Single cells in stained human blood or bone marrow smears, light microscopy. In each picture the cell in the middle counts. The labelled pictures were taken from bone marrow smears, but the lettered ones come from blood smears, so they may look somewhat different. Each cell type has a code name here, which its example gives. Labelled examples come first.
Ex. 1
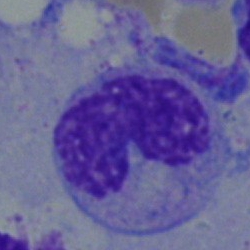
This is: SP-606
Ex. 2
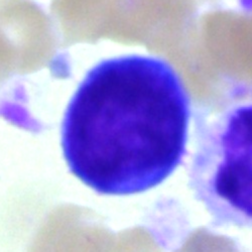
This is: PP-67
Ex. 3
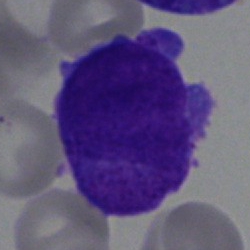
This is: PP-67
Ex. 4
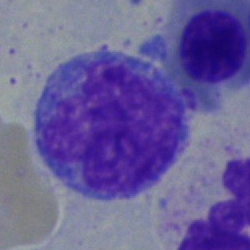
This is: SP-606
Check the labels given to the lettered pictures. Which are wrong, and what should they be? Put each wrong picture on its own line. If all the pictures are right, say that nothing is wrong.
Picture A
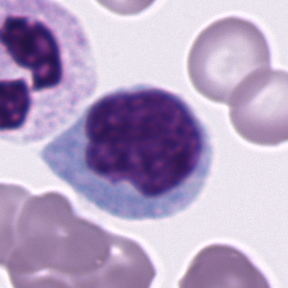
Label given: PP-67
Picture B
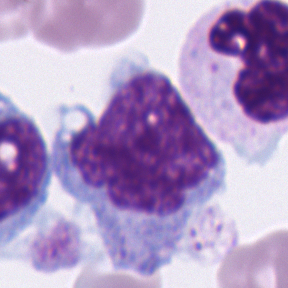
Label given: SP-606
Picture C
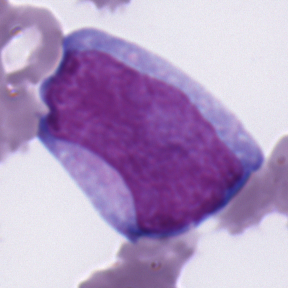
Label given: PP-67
A is labelled PP-67; correct label: SP-606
